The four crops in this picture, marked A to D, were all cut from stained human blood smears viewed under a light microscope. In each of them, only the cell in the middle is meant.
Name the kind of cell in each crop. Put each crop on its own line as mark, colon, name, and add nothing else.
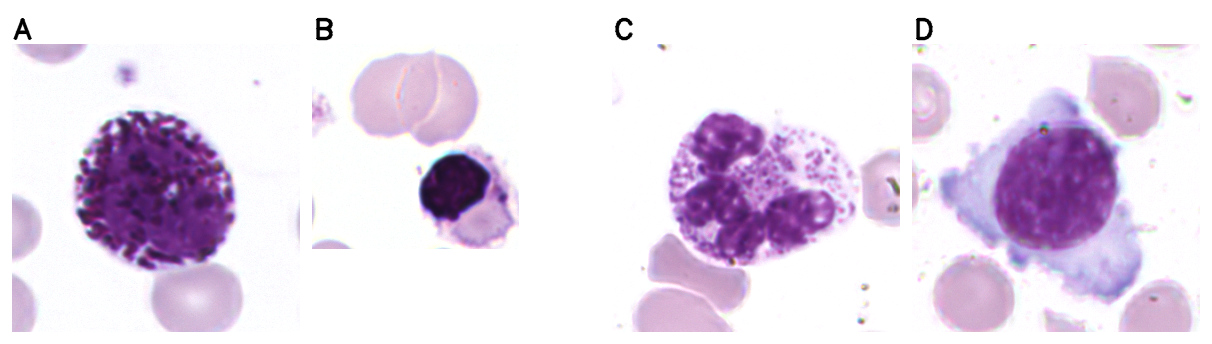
A: basophil
B: erythroblast
C: neutrophil
D: plasma cell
